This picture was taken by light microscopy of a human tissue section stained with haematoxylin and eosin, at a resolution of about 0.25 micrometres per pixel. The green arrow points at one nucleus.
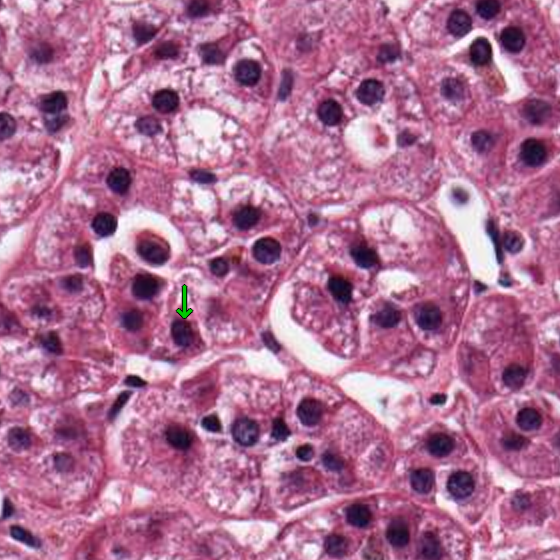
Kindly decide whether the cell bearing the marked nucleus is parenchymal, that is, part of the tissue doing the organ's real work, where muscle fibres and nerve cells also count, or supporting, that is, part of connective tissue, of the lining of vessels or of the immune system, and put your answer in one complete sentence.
This marked nucleus is part of a parenchymal cell, namely an adrenal cortical cell.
